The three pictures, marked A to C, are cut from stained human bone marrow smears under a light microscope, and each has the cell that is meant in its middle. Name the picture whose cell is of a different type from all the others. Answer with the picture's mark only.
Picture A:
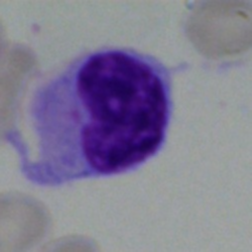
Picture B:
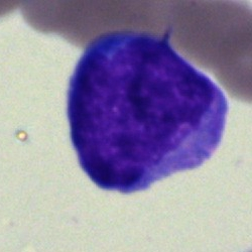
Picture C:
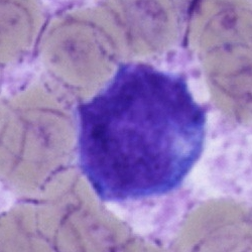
A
